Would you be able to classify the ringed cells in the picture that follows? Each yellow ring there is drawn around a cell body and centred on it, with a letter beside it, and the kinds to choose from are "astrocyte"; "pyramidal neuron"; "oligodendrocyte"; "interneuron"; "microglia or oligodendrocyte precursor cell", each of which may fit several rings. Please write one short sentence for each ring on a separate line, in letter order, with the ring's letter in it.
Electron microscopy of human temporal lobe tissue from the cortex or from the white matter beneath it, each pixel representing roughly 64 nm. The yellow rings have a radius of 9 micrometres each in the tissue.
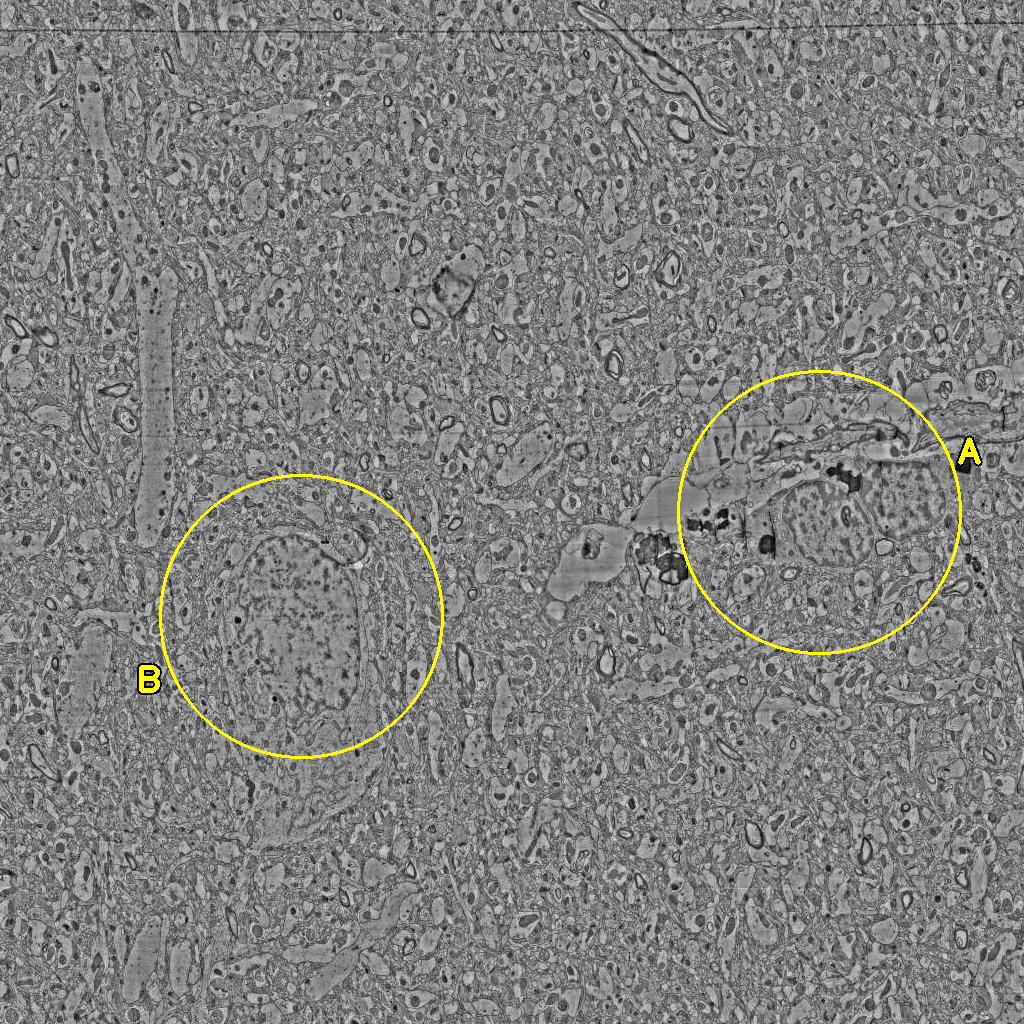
The cell body at the centre of ring A belongs to an oligodendrocyte.
The cell body at the centre of ring B belongs to an interneuron.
